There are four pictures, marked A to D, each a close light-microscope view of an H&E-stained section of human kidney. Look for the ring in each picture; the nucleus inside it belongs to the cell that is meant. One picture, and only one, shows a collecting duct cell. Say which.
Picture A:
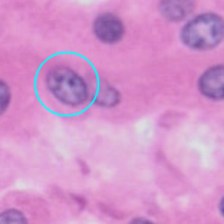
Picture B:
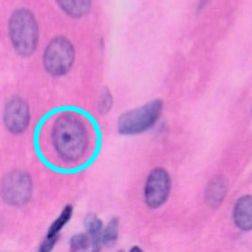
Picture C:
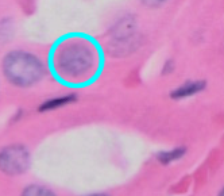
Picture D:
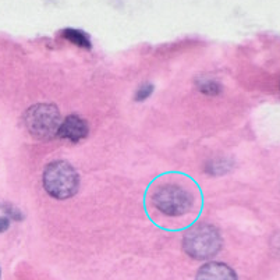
C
